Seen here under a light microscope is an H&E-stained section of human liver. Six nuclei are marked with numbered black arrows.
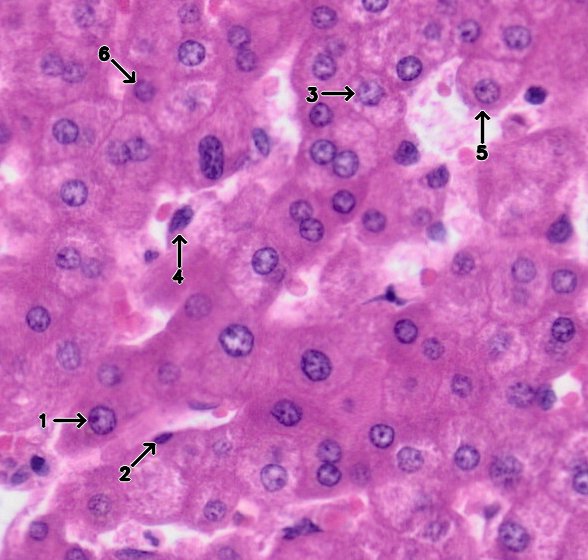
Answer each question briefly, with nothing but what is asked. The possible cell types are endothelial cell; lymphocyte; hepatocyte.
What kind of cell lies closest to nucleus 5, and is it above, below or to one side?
a lymphocyte; to the right of nucleus 5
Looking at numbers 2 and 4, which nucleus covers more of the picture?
4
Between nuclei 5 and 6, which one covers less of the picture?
6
